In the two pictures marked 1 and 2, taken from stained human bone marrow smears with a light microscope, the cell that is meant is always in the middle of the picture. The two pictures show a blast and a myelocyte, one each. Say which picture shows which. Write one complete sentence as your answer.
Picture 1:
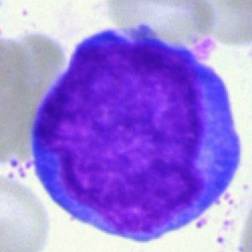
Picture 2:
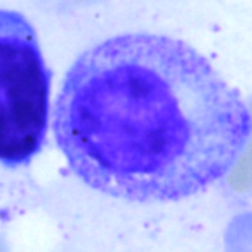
Picture 1 shows a blast and picture 2 shows a myelocyte.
